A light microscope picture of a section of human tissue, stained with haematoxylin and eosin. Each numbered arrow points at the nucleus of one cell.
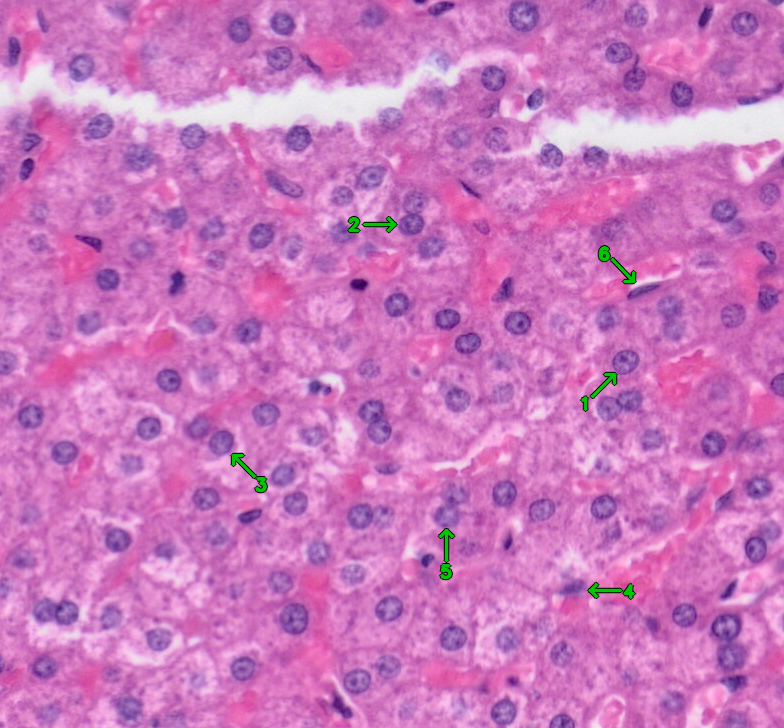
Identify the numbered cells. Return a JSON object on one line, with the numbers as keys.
{"1": "hepatocyte", "2": "hepatocyte", "3": "hepatocyte", "4": "endothelial cell", "5": "hepatocyte", "6": "endothelial cell"}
